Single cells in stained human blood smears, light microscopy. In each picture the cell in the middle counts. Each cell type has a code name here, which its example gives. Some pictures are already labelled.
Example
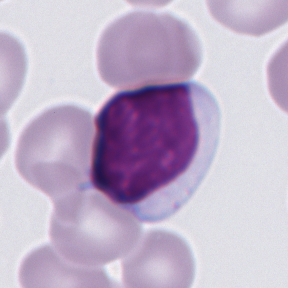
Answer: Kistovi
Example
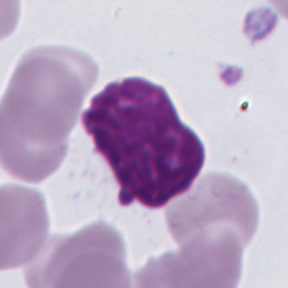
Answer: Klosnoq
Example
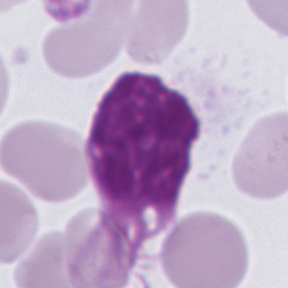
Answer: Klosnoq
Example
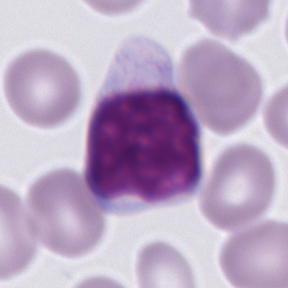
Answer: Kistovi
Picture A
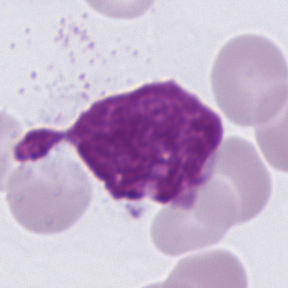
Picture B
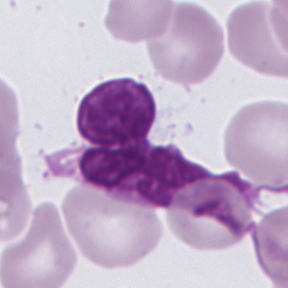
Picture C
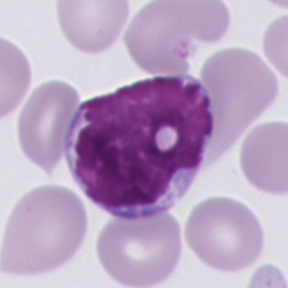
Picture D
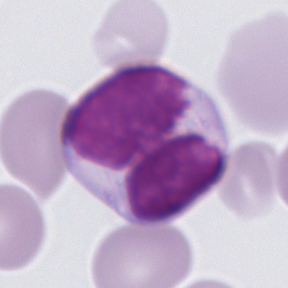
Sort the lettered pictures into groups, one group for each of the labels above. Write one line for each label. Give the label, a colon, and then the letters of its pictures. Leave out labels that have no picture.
Kistovi: C, D
Klosnoq: A, B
